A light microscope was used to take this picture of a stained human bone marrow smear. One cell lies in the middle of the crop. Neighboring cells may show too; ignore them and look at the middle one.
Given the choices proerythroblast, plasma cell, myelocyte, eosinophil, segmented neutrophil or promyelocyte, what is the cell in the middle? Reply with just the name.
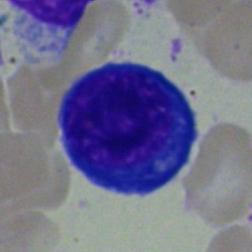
proerythroblast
